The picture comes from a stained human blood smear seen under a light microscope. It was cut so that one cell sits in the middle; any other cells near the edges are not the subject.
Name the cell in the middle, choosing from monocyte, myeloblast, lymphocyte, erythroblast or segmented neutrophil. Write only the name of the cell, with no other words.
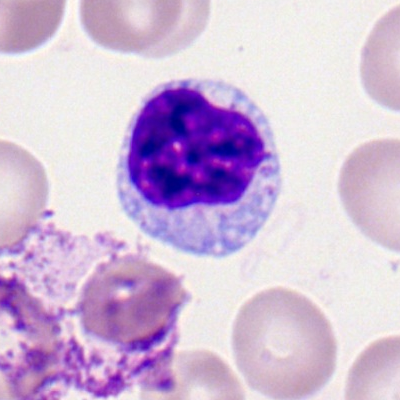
lymphocyte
